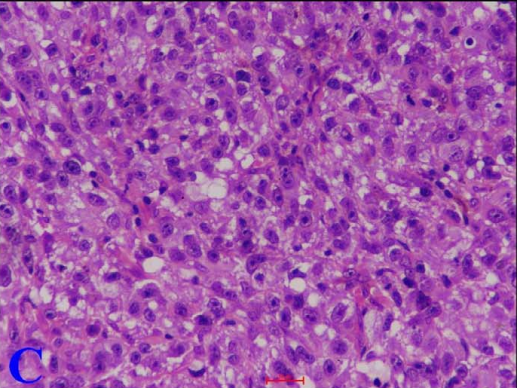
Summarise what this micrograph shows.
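Tumor cells at high power lie in a dense sheet, mostly epithelioid with some elongated forms. Their nuclei are vesicular, vary moderately in size and shape, and many carry a large, prominent dark nucleolus. The cells have moderate amounts of pale pink cytoplasm, and scattered clear spaces lie between them. No brown or black pigment is visible.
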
